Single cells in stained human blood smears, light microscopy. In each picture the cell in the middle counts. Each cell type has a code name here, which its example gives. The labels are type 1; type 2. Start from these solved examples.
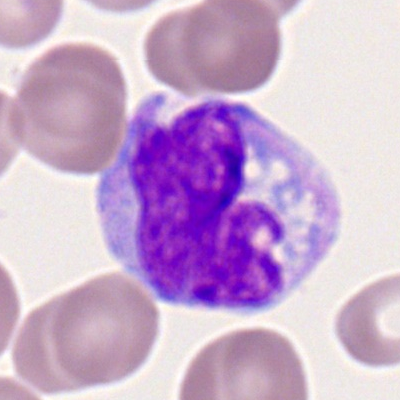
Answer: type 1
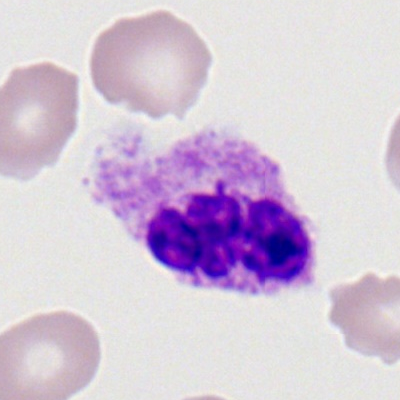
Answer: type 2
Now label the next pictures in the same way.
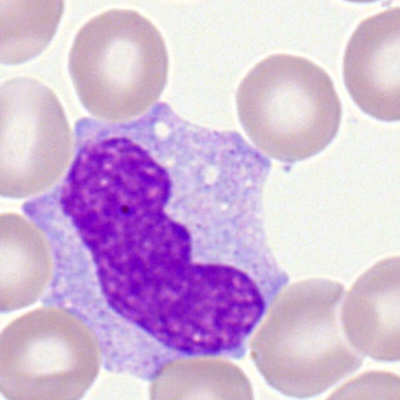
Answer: type 1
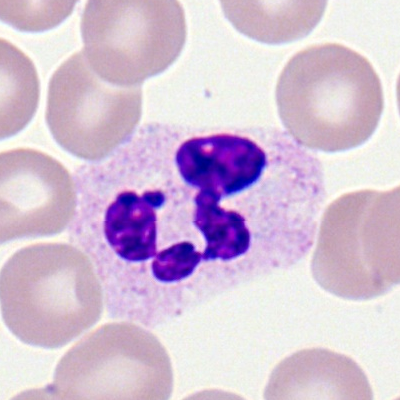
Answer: type 2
